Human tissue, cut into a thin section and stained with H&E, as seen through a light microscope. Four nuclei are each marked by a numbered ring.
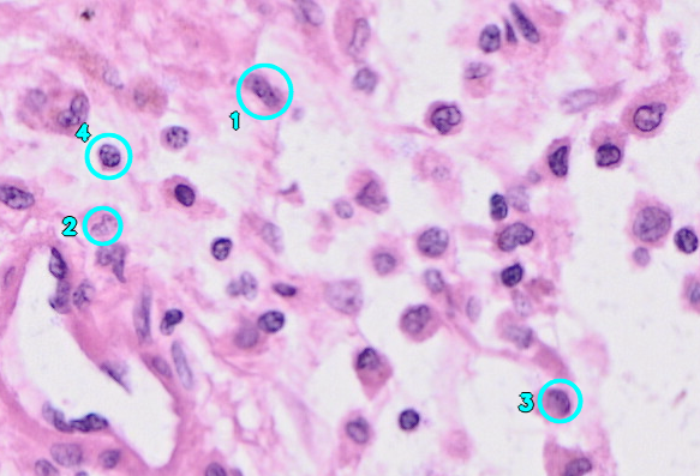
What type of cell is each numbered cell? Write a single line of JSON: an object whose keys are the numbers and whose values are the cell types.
{"1": "macrophage or monocyte", "2": "macrophage or monocyte", "3": "macrophage or monocyte", "4": "lymphocyte"}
